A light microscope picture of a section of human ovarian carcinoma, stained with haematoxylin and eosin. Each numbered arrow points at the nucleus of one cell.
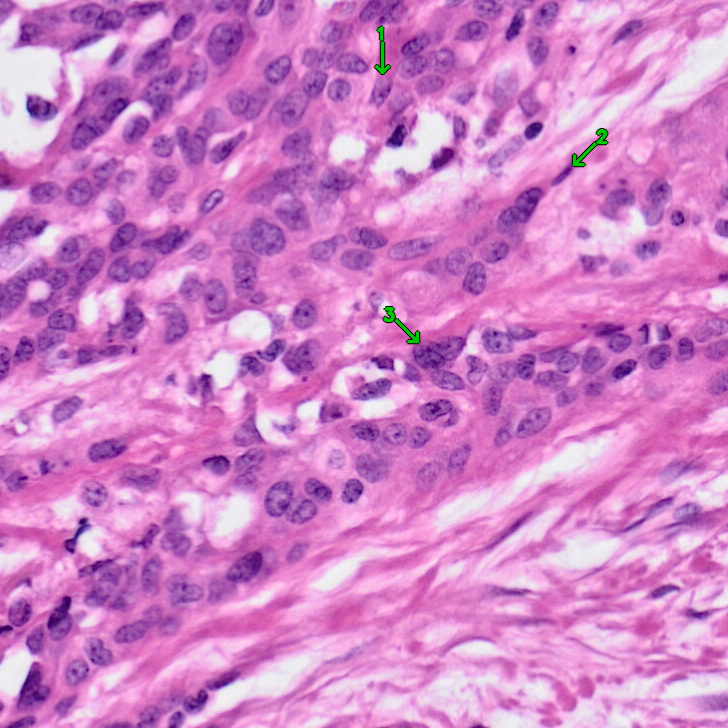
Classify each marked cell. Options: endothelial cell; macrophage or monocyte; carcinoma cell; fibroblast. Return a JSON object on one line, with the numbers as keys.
{"1": "macrophage or monocyte", "2": "fibroblast", "3": "carcinoma cell"}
